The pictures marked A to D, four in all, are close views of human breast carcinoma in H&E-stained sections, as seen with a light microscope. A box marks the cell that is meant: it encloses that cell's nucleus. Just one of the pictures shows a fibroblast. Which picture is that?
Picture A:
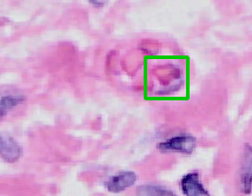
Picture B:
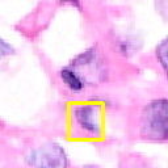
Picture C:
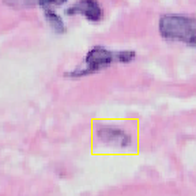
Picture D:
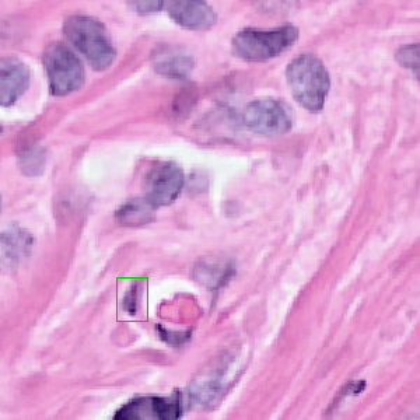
C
